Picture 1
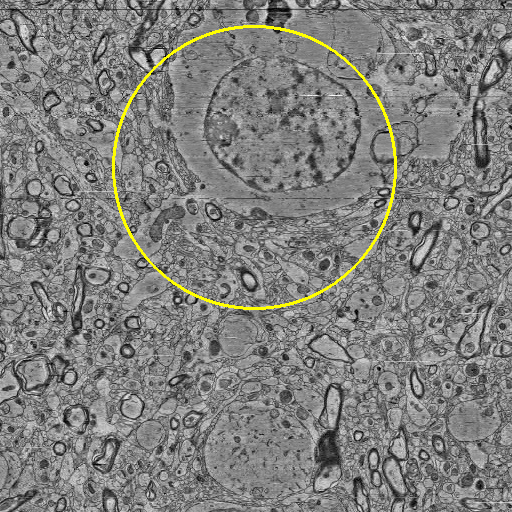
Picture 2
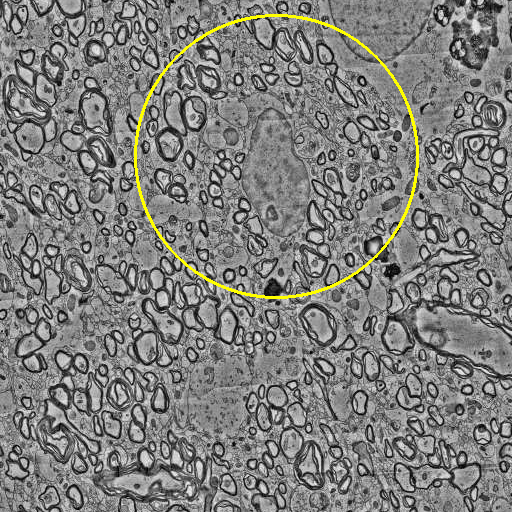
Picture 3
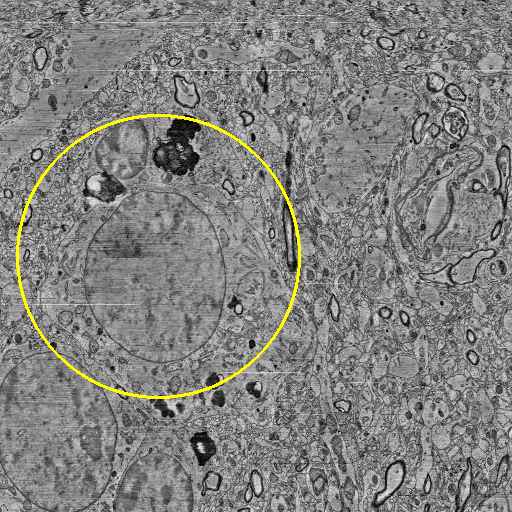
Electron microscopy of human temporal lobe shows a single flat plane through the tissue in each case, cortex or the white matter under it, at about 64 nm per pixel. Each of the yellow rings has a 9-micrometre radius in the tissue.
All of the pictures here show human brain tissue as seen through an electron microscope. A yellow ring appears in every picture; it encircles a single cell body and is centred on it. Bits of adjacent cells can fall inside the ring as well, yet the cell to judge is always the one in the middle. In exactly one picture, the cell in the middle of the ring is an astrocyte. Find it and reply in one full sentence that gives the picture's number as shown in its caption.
Of all the pictures, picture 1 has the right cell at the centre of its ring.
